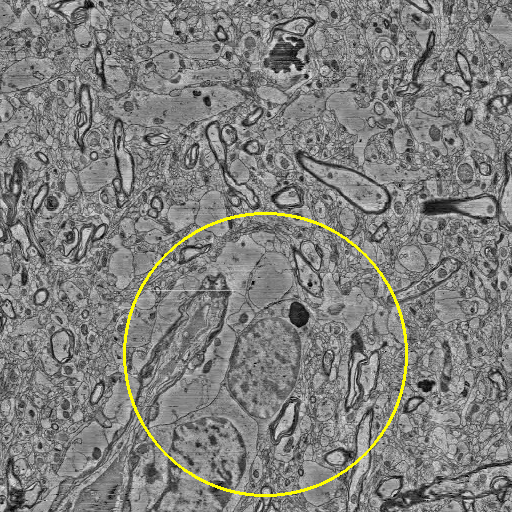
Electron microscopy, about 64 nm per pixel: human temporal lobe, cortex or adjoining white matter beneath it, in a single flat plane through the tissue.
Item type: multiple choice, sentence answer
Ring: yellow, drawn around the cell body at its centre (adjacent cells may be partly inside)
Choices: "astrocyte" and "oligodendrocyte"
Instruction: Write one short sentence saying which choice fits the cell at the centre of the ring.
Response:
This ring is drawn around an oligodendrocyte.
